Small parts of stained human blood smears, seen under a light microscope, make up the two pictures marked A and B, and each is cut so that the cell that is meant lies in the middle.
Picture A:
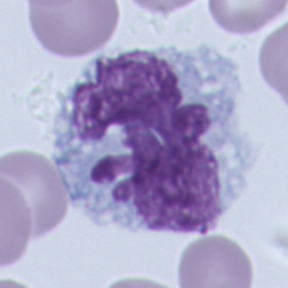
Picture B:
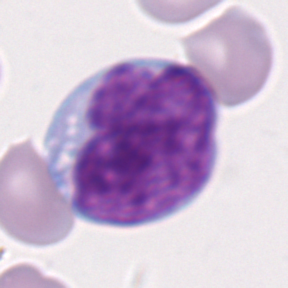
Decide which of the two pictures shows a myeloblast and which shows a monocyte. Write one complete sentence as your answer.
Picture A shows a monocyte and picture B shows a myeloblast.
